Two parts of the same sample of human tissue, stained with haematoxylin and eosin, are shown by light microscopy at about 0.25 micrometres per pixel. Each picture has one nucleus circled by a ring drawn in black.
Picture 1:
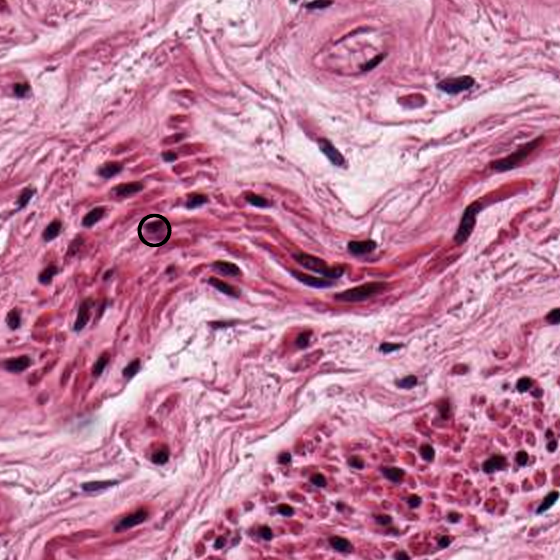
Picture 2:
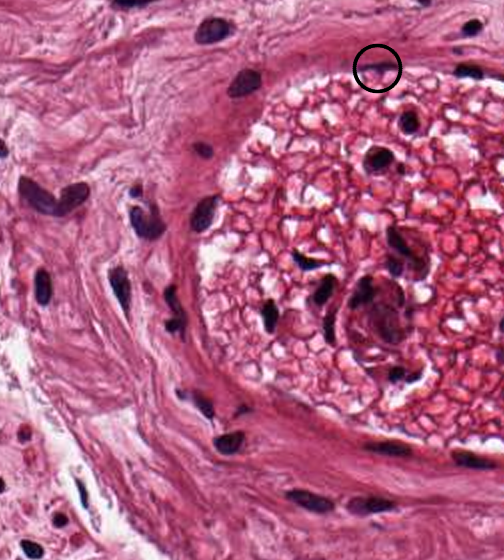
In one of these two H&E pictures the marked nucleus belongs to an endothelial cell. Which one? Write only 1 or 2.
2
